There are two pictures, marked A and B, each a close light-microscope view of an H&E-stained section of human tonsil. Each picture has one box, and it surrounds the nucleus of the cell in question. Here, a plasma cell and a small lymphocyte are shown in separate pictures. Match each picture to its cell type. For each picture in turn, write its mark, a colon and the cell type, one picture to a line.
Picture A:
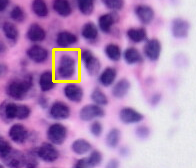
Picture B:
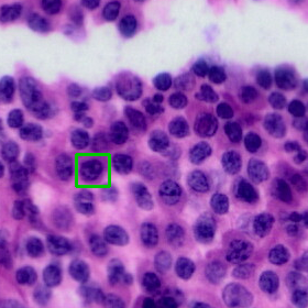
A: small lymphocyte
B: plasma cell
